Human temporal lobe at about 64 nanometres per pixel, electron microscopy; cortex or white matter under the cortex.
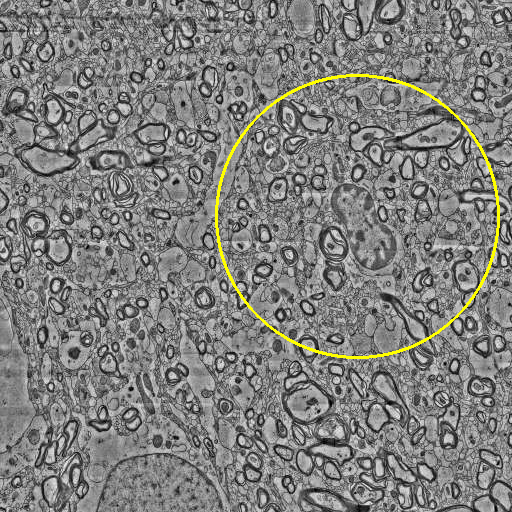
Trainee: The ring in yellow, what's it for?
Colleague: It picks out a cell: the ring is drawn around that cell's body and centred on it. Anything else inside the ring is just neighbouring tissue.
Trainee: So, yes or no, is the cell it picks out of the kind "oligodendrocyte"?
no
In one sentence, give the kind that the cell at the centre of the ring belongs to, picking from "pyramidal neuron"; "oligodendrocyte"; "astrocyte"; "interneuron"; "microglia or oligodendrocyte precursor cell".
At the centre of the ring sits a microglial cell or oligodendrocyte precursor cell.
